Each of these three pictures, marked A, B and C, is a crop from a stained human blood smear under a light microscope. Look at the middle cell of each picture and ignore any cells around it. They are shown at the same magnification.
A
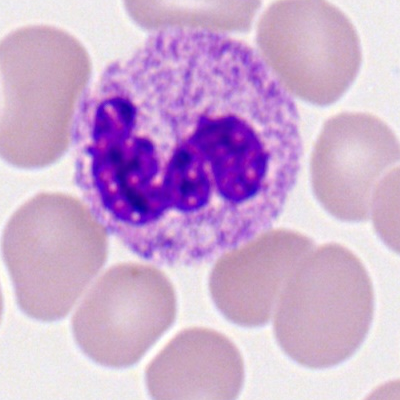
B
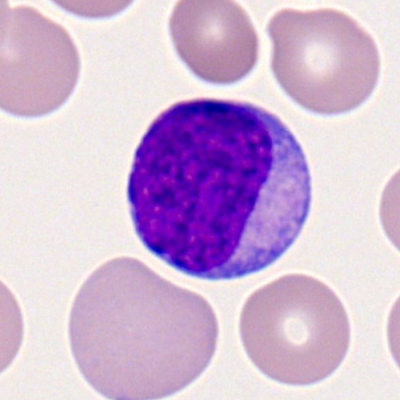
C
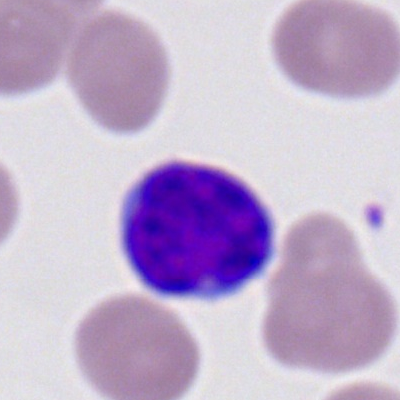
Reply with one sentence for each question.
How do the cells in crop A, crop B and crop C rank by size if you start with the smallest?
The order is C, B, A, beginning with the smallest.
